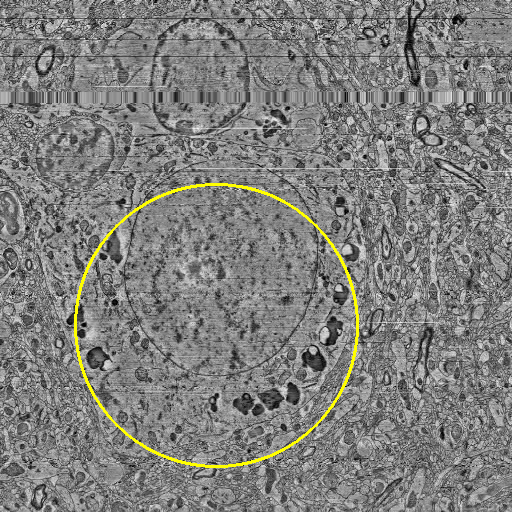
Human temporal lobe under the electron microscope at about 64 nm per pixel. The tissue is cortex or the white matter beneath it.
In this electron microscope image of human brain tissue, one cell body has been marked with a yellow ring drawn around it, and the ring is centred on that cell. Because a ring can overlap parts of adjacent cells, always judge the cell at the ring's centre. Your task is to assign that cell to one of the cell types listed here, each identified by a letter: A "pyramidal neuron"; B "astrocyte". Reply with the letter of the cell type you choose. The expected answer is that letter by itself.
A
